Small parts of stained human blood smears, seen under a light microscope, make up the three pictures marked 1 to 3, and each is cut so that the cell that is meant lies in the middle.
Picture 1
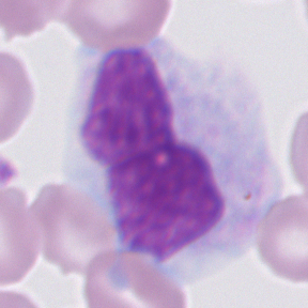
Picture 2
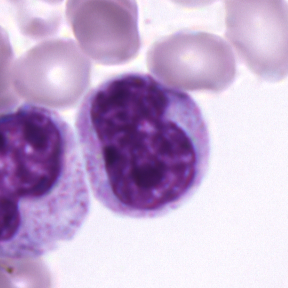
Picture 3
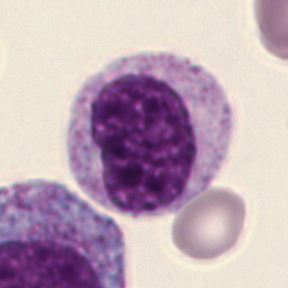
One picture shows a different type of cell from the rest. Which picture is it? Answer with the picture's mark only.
1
